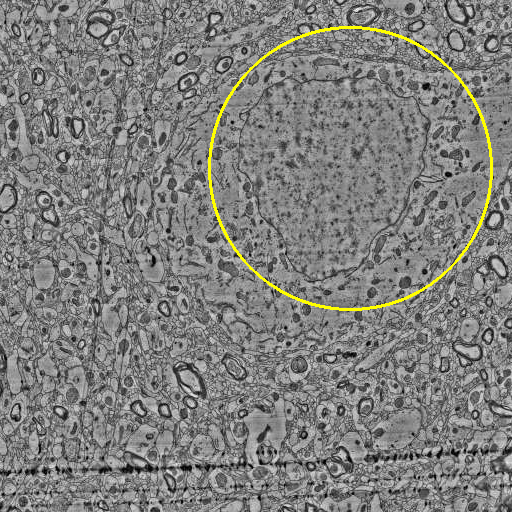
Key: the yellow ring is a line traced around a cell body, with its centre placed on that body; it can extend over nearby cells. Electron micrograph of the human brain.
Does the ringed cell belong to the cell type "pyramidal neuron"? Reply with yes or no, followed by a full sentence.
Yes, the cell at the centre of the yellow ring in the picture is of that type.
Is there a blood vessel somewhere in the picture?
No, the image shows no blood vessel.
